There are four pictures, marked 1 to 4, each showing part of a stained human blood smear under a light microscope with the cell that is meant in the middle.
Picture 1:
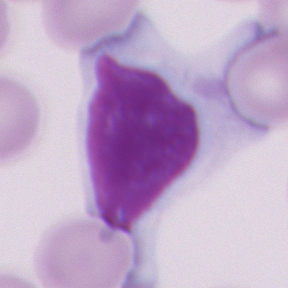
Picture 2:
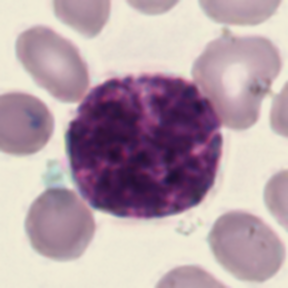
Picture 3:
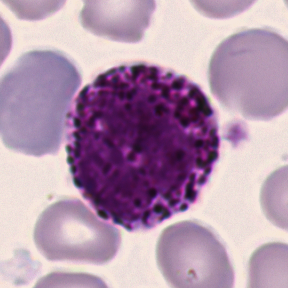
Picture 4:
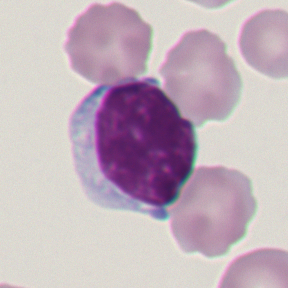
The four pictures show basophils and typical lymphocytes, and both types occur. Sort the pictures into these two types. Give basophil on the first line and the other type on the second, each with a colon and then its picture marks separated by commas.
basophil: 2, 3
typical lymphocyte: 1, 4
